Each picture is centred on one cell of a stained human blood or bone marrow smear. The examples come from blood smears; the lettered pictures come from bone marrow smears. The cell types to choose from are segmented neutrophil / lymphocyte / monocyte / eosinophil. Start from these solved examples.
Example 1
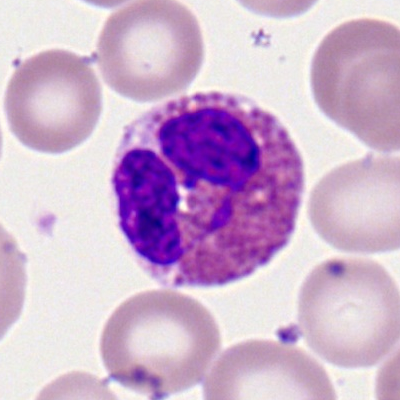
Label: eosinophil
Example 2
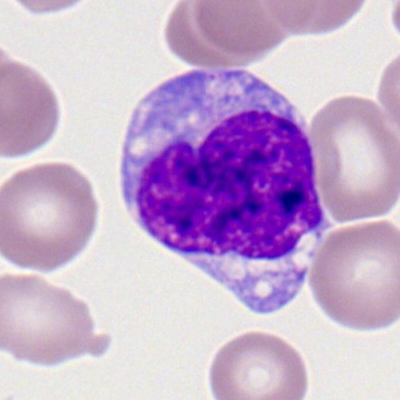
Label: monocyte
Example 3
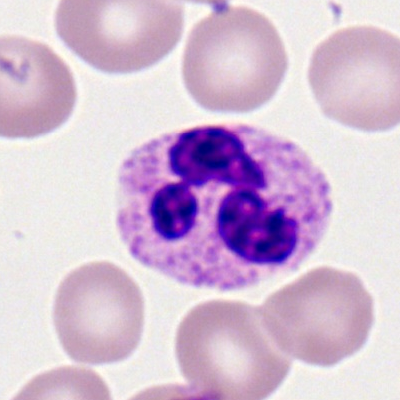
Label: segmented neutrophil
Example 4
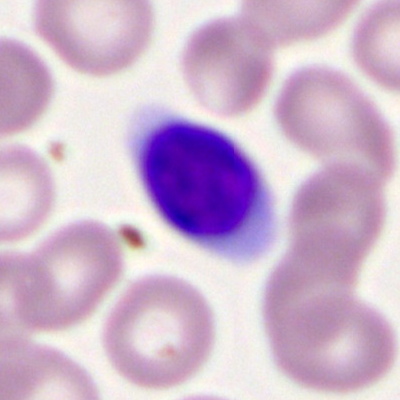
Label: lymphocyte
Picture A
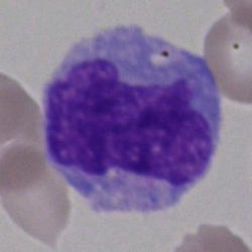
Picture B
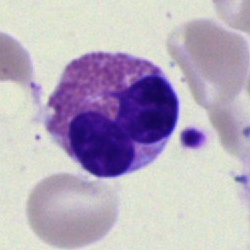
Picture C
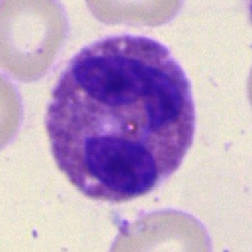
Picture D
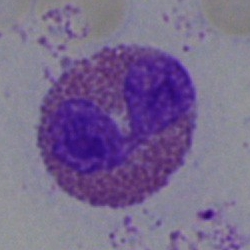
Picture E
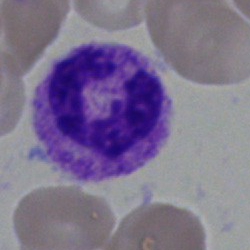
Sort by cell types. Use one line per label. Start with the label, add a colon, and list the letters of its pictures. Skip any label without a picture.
segmented neutrophil: E
monocyte: A
eosinophil: B, C, D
